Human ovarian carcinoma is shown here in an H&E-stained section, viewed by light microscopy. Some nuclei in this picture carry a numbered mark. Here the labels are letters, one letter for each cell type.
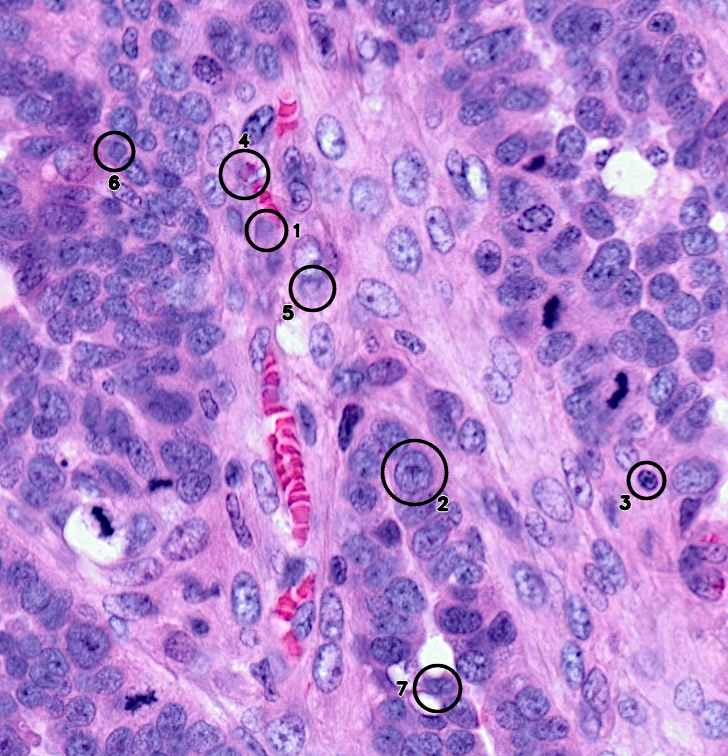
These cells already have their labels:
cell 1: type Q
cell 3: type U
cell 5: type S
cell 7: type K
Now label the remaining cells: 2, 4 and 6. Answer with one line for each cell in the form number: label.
2: type K
4: type Q
6: type K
